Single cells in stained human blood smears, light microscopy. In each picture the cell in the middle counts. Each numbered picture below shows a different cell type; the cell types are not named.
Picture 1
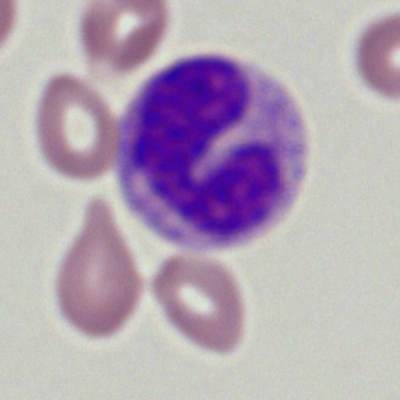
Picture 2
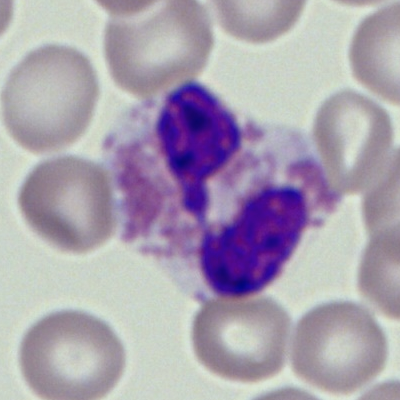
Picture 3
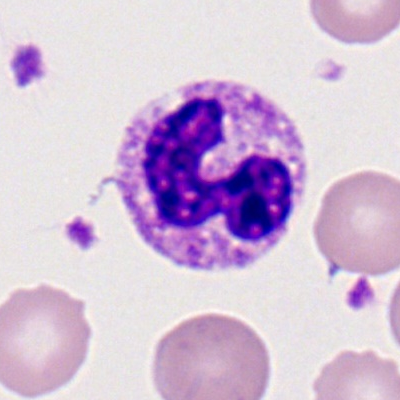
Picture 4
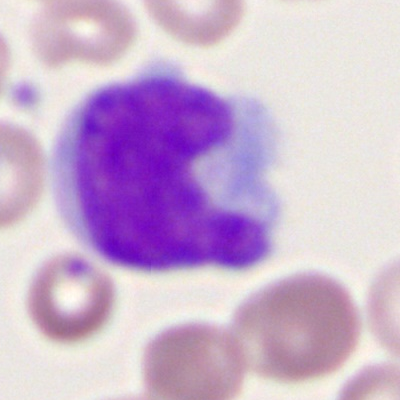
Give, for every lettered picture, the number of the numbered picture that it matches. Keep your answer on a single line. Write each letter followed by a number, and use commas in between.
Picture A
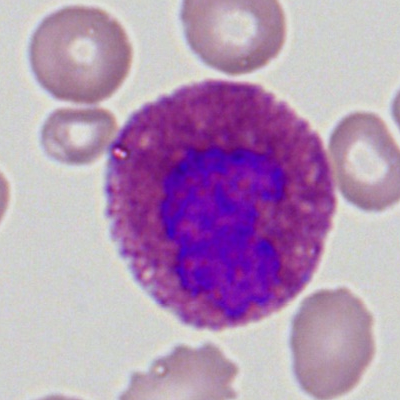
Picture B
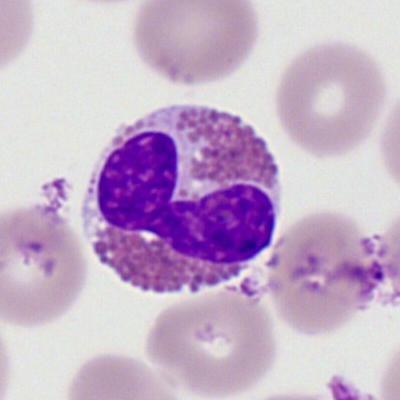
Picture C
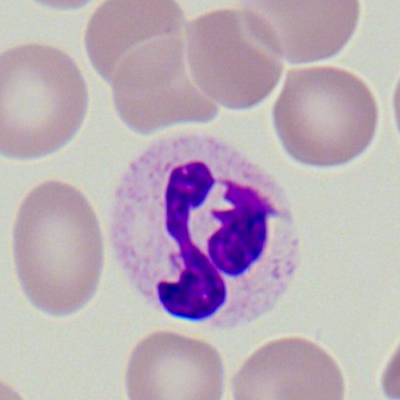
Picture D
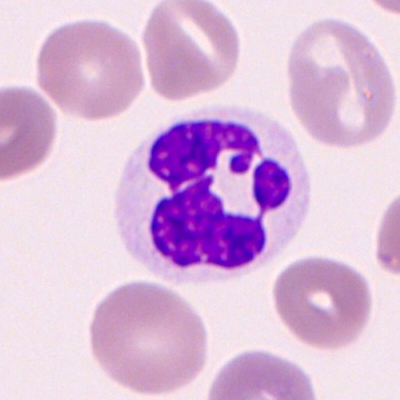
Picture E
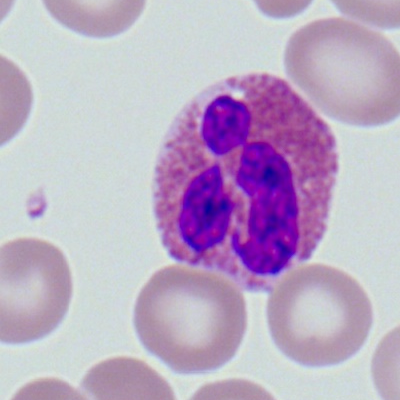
A 2, B 2, C 3, D 3, E 2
